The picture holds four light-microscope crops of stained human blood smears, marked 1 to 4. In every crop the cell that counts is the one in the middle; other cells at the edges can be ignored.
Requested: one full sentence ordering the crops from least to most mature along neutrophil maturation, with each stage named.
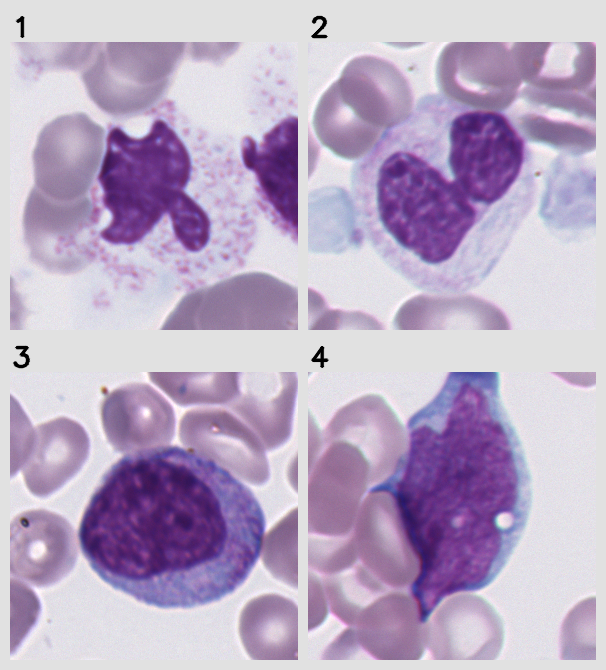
From the least mature to the most mature, the sequence runs crop 4 (a myeloblast), crop 3 (a promyelocyte), crop 2 (a band neutrophil) and crop 1 (a segmented neutrophil).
